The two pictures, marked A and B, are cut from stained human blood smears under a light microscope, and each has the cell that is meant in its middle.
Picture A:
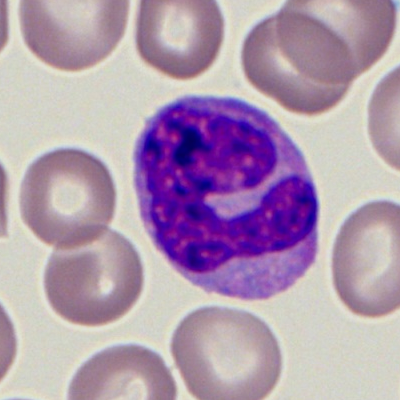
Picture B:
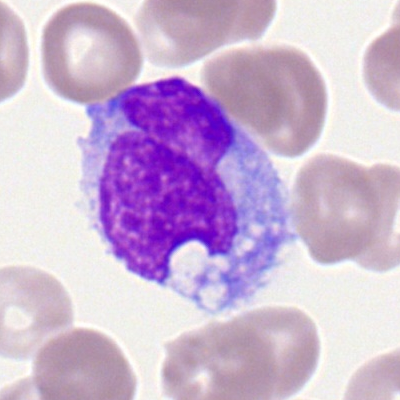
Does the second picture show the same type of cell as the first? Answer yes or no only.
yes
